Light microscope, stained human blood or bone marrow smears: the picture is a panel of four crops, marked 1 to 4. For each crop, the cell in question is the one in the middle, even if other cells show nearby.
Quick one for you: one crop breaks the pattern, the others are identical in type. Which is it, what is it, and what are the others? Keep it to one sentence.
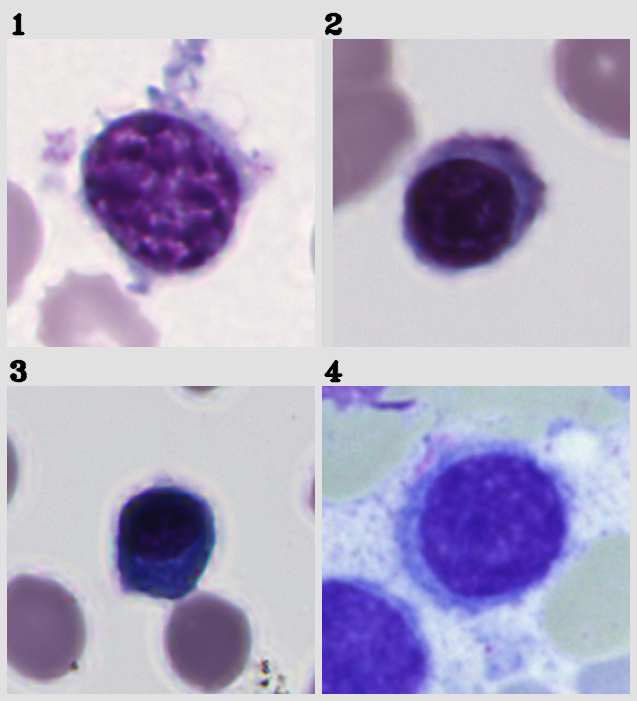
All crops show plasma cells except crop 4, which is a hairy cell.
